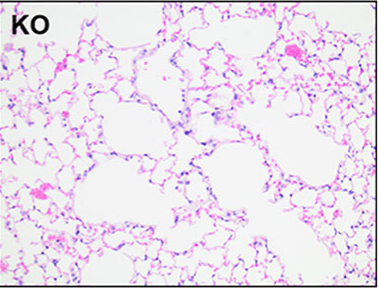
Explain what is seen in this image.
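This is lung parenchyma showing emphysema-like changes, with several airspaces greatly enlarged and irregular in outline beside areas of smaller alveoli. The pink alveolar septa are thin, and around the large spaces they are sparse, leaving wide open areas with few walls. Purple nuclei lie scattered along the septa, and small clusters of pink red blood cells sit in small vessels within the tissue.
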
